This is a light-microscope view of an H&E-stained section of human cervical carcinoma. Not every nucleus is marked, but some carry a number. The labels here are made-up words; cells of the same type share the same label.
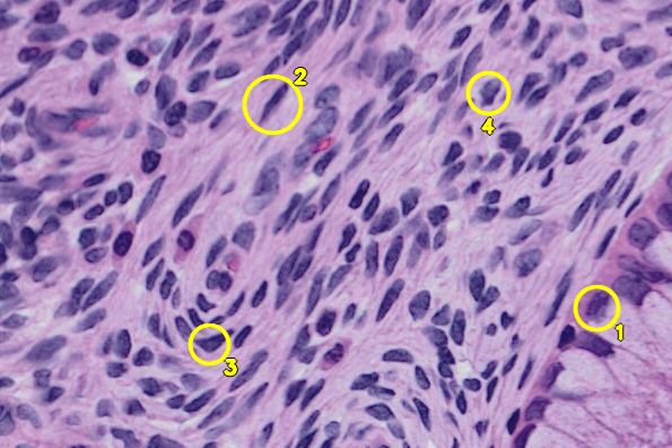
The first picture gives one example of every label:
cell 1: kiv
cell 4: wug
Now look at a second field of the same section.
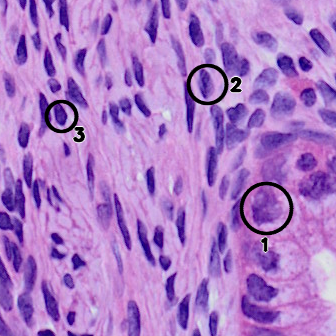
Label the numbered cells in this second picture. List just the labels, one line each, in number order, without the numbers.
kiv
wug
wug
